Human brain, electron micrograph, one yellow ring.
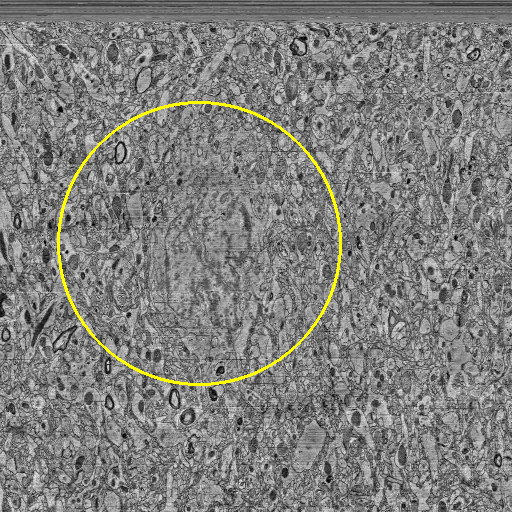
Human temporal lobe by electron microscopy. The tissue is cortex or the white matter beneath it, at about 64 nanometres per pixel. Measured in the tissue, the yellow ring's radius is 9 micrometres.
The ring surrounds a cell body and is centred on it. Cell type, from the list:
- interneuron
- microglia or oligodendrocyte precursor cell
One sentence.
The yellow ring circles an interneuron.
